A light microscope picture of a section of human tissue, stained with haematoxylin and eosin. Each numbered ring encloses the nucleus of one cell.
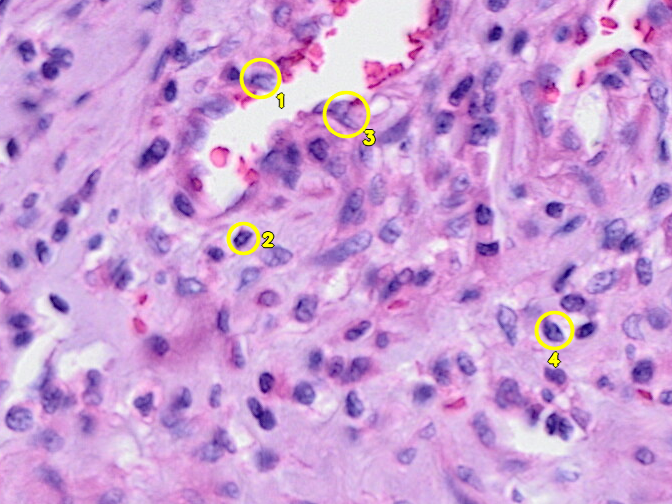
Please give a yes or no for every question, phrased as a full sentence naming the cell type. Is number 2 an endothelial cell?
No, number 2 is not an endothelial cell; it is a lymphocyte.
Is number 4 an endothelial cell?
No, cell 4 is not an endothelial cell. It is a lymphocyte.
